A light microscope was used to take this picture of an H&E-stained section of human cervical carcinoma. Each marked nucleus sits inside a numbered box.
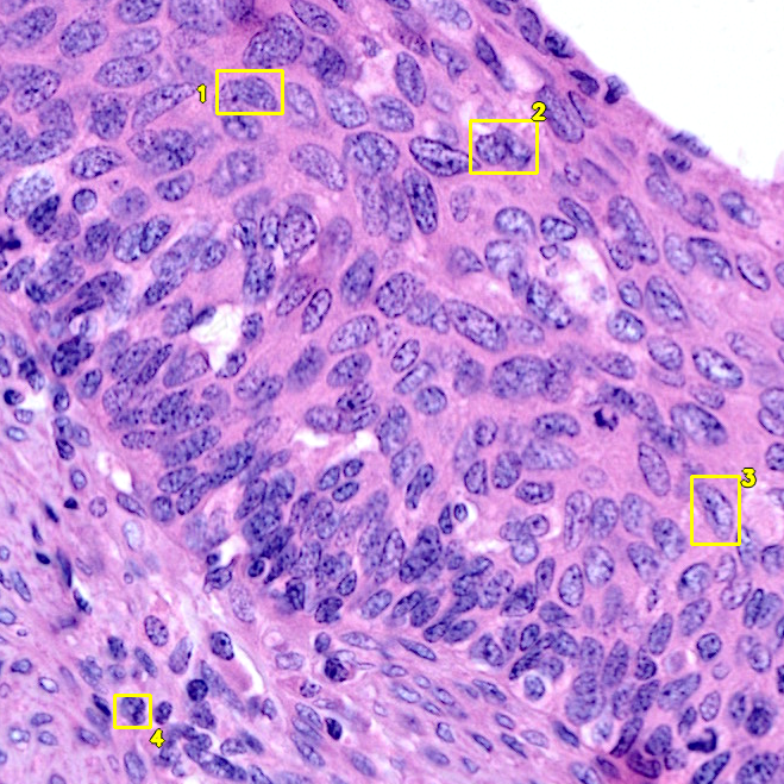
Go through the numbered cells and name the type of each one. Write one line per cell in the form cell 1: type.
cell 1: squamous carcinoma cell
cell 2: squamous carcinoma cell
cell 3: squamous carcinoma cell
cell 4: lymphocyte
